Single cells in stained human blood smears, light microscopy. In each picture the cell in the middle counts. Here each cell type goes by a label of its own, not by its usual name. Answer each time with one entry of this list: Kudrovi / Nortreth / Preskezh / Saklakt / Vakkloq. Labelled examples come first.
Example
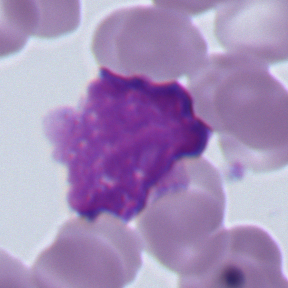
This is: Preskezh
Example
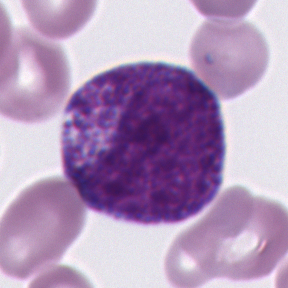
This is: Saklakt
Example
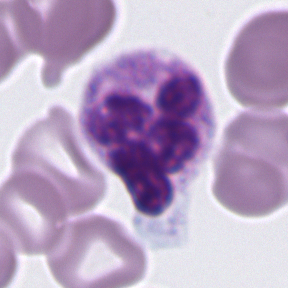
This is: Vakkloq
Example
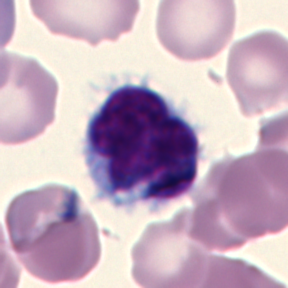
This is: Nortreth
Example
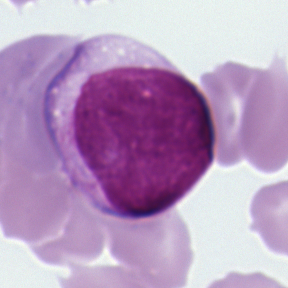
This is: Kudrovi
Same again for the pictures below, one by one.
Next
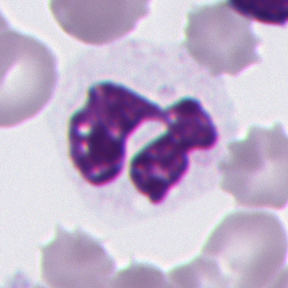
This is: Vakkloq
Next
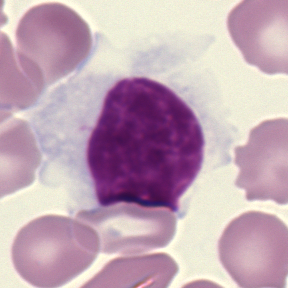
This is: Nortreth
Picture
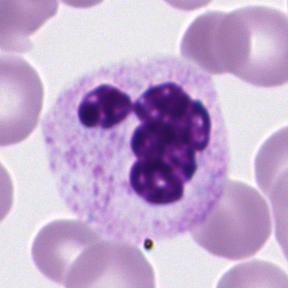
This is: Vakkloq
